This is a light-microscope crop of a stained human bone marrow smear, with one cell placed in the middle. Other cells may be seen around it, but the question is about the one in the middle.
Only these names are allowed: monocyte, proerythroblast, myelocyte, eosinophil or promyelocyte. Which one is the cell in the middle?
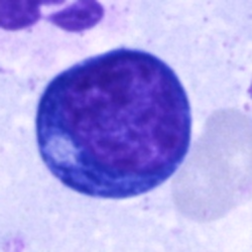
proerythroblast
